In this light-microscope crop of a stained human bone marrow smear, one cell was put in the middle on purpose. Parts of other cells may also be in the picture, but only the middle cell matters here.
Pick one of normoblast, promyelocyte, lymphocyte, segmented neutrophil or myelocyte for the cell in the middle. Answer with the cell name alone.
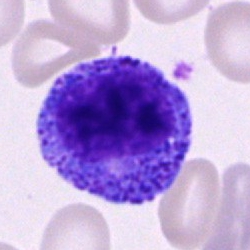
promyelocyte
